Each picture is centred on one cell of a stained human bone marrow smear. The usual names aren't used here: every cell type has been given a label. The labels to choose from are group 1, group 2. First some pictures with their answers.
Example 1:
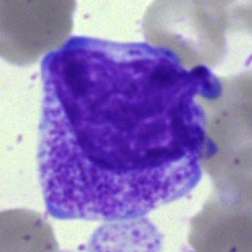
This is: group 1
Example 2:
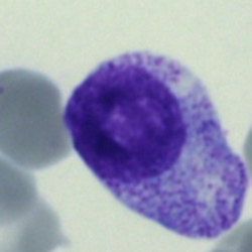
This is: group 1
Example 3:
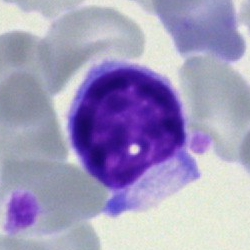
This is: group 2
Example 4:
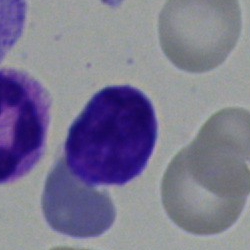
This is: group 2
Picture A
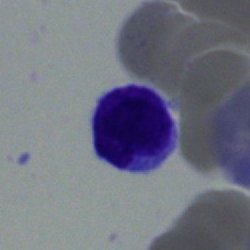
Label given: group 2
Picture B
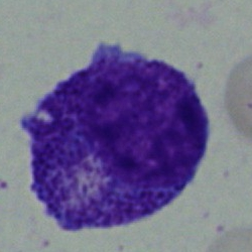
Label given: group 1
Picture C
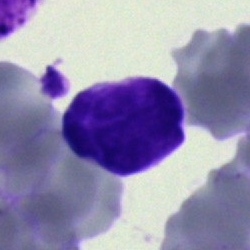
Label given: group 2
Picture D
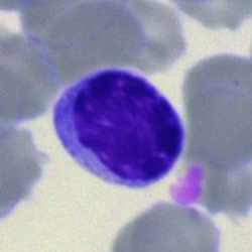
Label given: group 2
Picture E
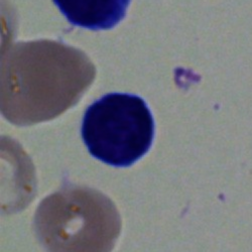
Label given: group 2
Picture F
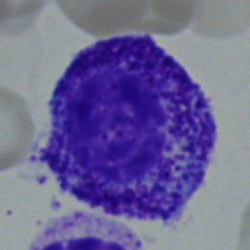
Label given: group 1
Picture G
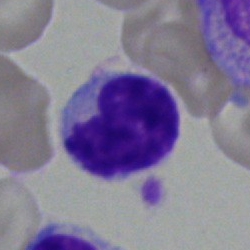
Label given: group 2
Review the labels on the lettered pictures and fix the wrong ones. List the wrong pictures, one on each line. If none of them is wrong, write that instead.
Every label is right.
